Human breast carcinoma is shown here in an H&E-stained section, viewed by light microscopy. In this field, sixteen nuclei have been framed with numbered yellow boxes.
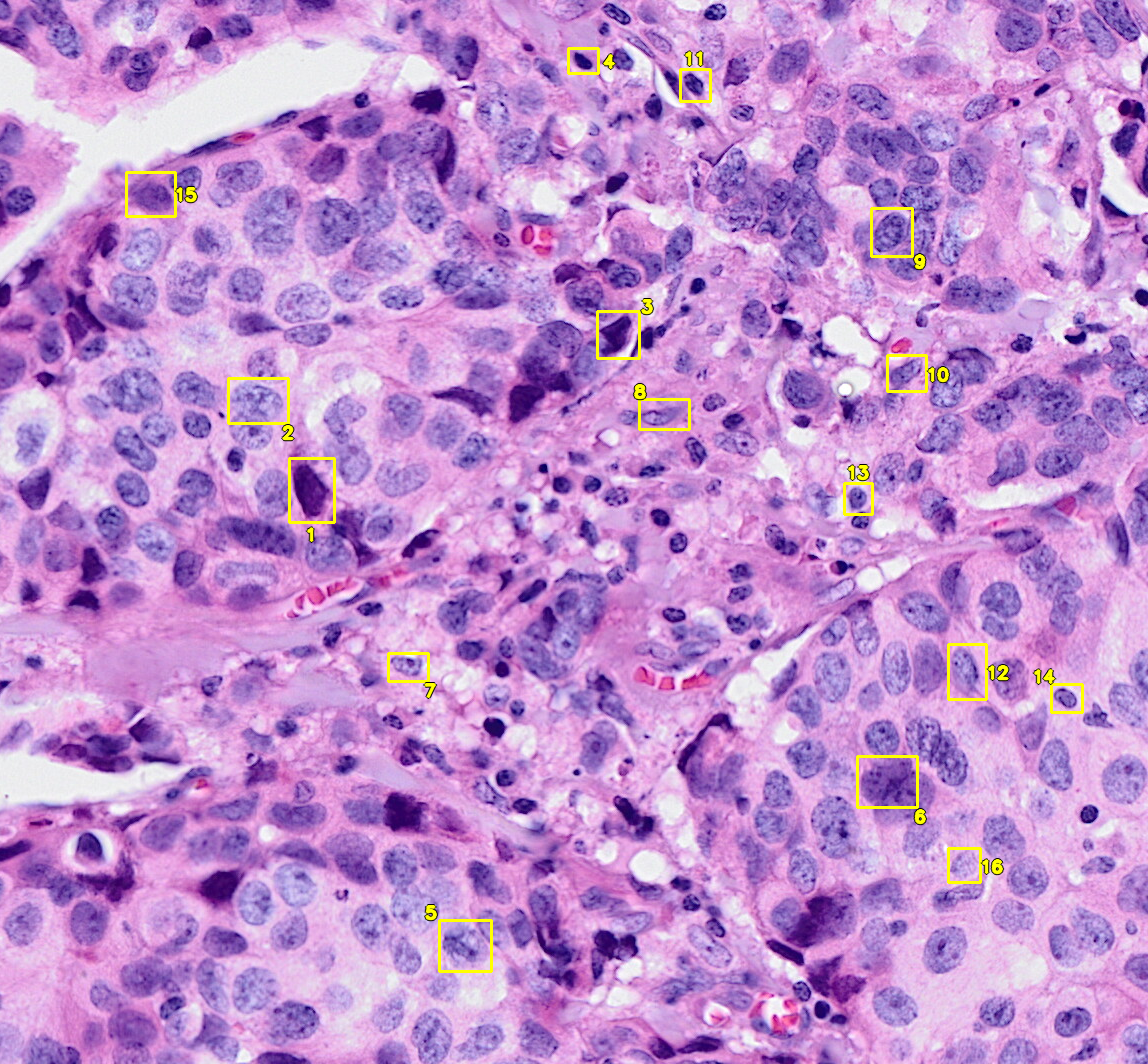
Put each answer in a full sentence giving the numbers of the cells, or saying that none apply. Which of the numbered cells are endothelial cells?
Here, the cells that carry numbers 8 and 10 are endothelial cells.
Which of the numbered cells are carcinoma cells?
The cells picked out by numbers 1, 2, 3, 5, 6, 9, 12, 15 and 16 are carcinoma cells.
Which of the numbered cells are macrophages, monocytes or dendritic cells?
Only the cell numbered 7 qualifies as a macrophage, monocyte or dendritic cell among the marked cells.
